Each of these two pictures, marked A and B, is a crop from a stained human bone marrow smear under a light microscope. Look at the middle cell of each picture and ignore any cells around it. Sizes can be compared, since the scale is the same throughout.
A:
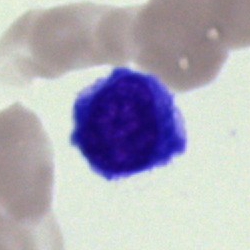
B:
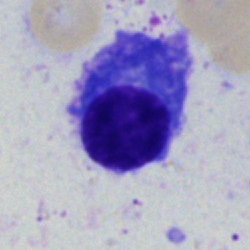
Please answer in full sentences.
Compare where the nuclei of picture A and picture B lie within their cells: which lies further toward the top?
In picture A the nucleus is shifted more toward the top.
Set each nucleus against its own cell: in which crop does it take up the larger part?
Of the two, the nucleus in picture A makes up the greater part of its cell.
